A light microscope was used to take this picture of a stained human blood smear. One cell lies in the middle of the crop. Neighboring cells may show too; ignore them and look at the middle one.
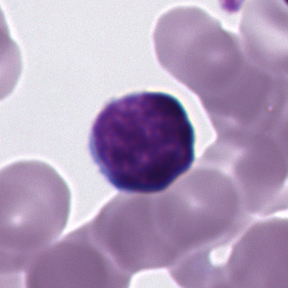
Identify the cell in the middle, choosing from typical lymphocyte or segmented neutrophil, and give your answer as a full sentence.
In the middle of this smear crop, the cell is a typical lymphocyte.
